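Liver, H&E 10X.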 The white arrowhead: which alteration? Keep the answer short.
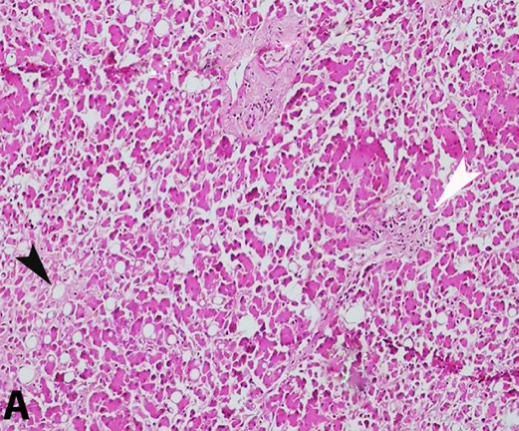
Periportal inflammatory infiltrate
